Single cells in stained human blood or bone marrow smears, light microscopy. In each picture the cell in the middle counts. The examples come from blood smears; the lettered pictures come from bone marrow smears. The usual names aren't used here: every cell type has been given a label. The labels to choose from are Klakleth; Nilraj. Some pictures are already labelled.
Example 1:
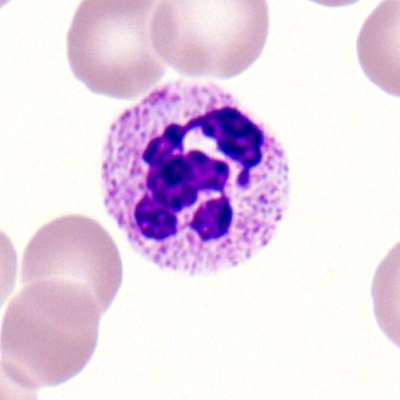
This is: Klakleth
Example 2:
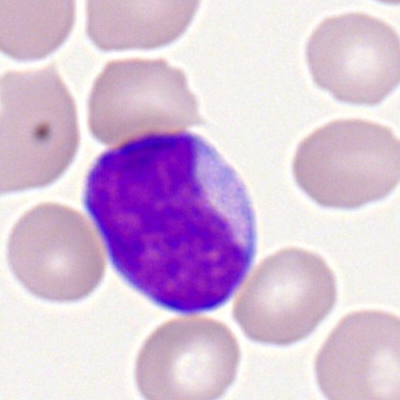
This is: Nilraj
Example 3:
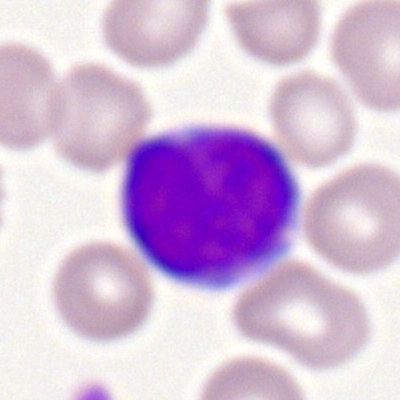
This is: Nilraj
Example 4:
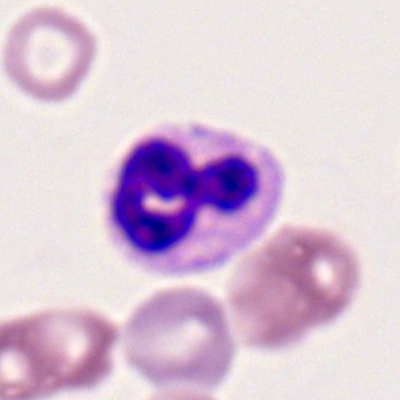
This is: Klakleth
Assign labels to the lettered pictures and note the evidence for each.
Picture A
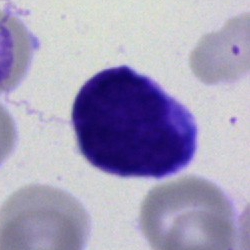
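Nilraj. The dark nucleus fills almost the whole cell.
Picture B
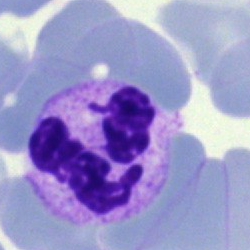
Klakleth. The chromatin is dark purple and coarsely clumped.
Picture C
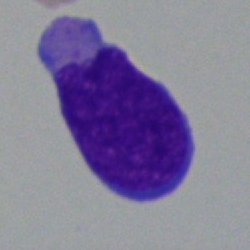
Nilraj. The dark nucleus fills almost the whole cell.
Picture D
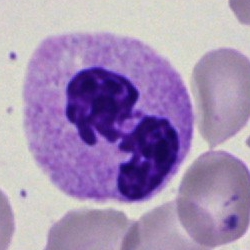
Klakleth. The chromatin is dark purple and coarsely clumped.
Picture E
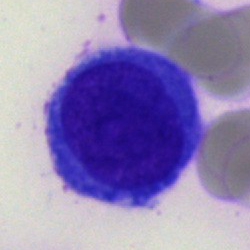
Nilraj. The cytoplasm forms a narrow deep blue rim around the nucleus.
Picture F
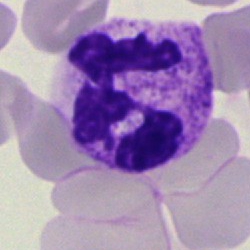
Klakleth. The cytoplasm is plentiful and pale pinkish-lilac.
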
